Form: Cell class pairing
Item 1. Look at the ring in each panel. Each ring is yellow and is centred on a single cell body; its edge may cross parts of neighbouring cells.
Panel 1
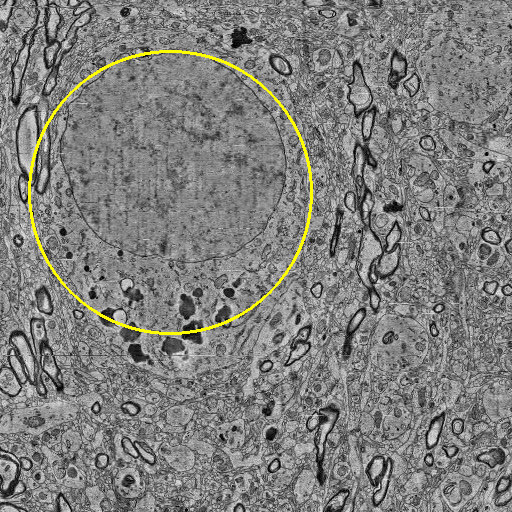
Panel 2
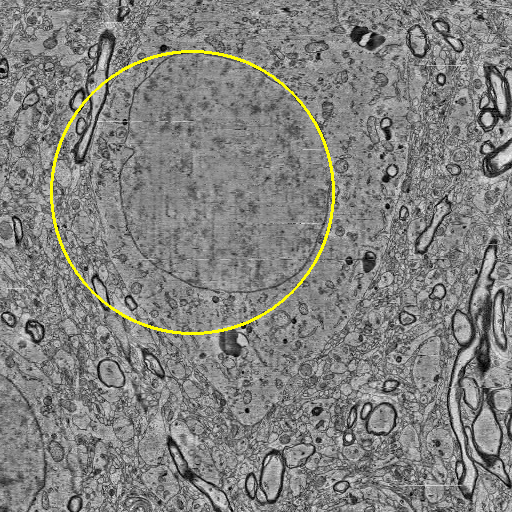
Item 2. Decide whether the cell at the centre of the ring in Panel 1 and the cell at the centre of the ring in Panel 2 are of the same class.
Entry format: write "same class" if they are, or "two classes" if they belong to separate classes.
same class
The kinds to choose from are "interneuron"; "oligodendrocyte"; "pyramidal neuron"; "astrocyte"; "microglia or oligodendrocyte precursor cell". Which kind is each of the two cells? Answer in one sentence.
Each of the two cells is a pyramidal neuron.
